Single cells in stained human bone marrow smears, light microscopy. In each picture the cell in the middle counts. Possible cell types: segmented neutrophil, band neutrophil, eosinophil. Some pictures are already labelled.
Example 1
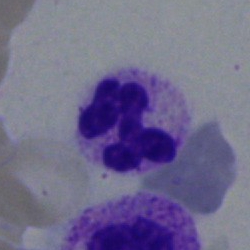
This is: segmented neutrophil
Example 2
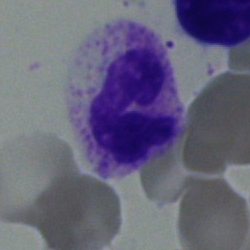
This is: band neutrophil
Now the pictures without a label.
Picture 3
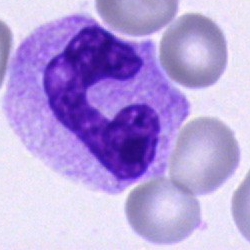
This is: band neutrophil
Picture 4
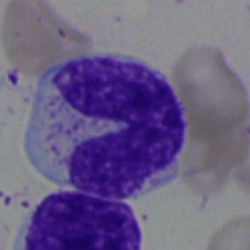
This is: band neutrophil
